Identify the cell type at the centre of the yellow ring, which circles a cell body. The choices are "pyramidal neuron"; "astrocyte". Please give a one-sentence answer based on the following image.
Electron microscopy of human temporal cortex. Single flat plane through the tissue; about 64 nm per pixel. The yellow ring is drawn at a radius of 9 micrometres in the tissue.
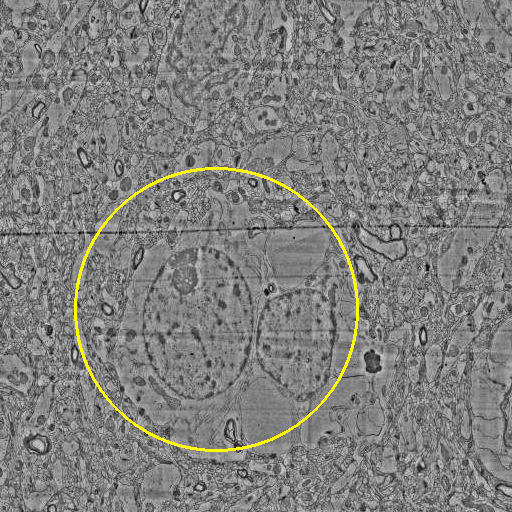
The cell marked by the ring is an astrocyte.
